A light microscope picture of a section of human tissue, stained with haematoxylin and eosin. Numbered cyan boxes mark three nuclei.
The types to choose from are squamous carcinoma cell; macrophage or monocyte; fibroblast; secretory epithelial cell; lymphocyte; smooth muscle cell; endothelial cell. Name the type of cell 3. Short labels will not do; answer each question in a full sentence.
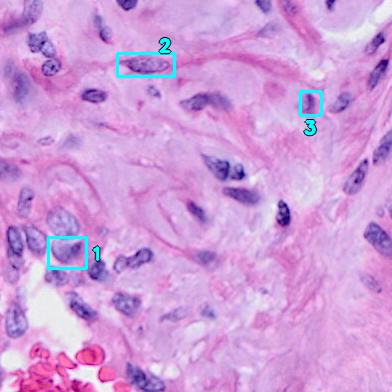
Cell 3, as marked in the section, is a smooth muscle cell.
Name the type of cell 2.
The cell identified by the number 2 is a smooth muscle cell.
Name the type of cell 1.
Number 1 is placed on an endothelial cell here.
